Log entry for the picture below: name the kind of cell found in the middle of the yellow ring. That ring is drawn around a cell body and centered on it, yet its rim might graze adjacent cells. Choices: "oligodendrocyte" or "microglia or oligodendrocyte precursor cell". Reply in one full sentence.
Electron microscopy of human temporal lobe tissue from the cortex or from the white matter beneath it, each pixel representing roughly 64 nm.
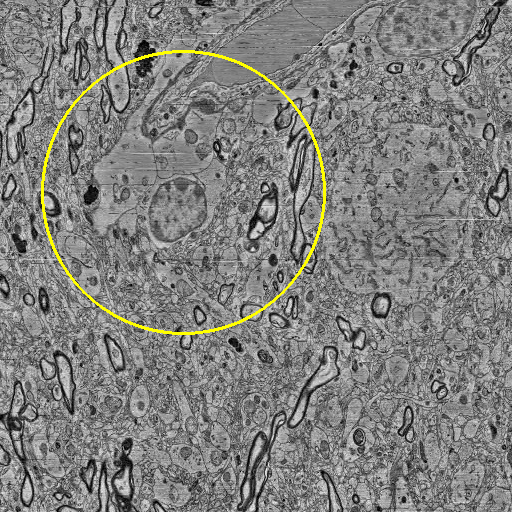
The cell in the middle of the yellow ring in this picture is a microglial cell or oligodendrocyte precursor cell.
